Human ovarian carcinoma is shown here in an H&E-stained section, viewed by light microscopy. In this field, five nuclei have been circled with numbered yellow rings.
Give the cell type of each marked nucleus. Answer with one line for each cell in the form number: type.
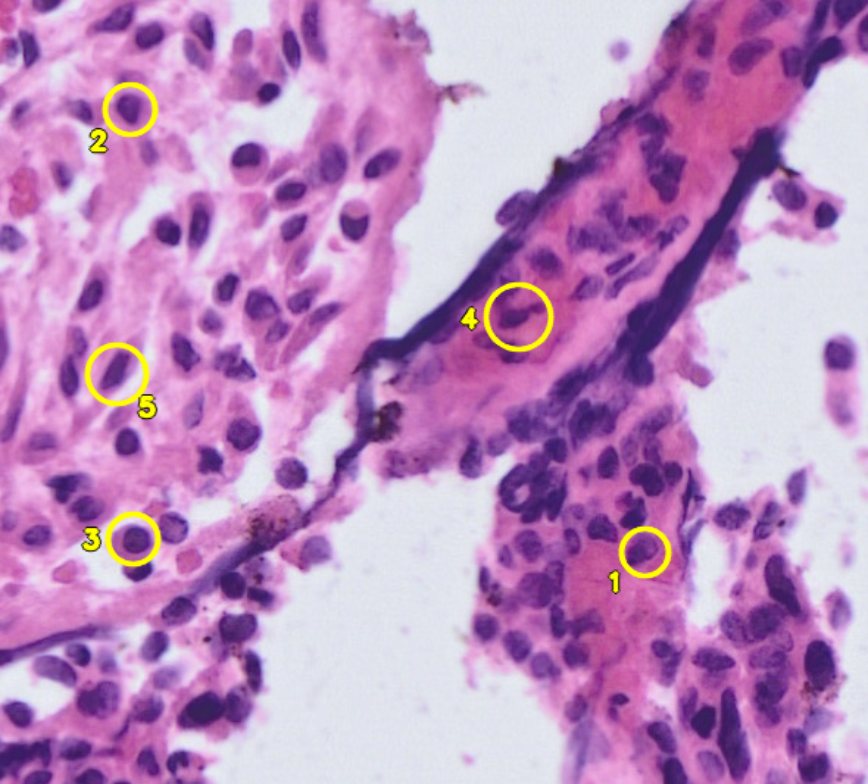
1: endothelial cell
2: fibroblast
3: macrophage or monocyte
4: endothelial cell
5: fibroblast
